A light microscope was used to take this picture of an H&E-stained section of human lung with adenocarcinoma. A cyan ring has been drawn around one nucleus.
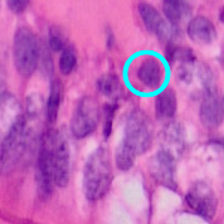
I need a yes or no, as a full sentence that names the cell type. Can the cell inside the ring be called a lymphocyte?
No, it is not a lymphocyte but a ciliated epithelial cell that the cell inside the ring represents.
